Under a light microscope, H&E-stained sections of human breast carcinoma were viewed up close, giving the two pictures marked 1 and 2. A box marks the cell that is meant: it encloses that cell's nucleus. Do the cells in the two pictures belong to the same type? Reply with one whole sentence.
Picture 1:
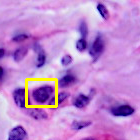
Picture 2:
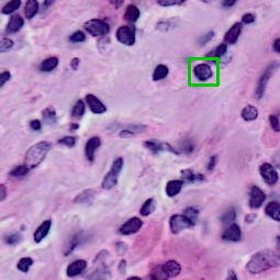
Yes; the cells in both pictures are lymphocytes.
